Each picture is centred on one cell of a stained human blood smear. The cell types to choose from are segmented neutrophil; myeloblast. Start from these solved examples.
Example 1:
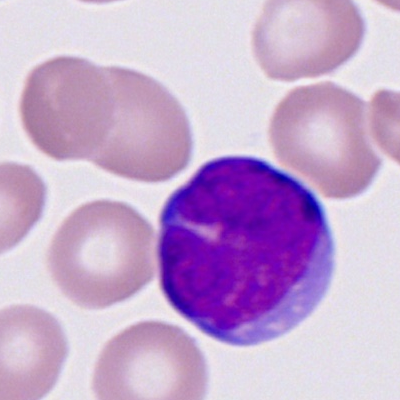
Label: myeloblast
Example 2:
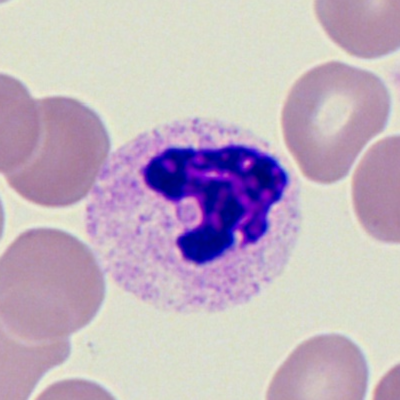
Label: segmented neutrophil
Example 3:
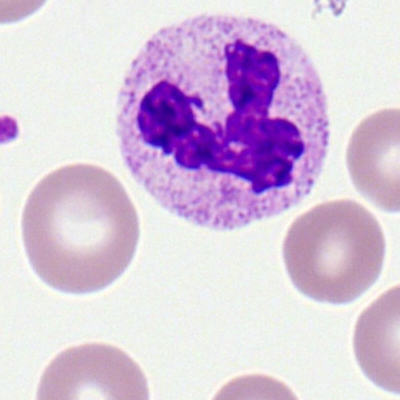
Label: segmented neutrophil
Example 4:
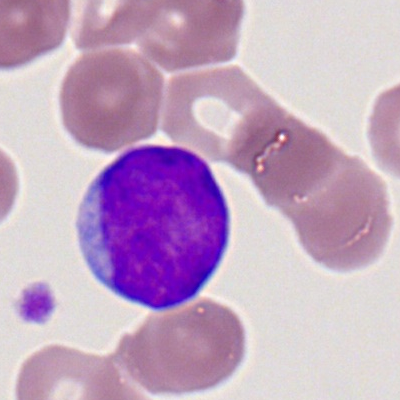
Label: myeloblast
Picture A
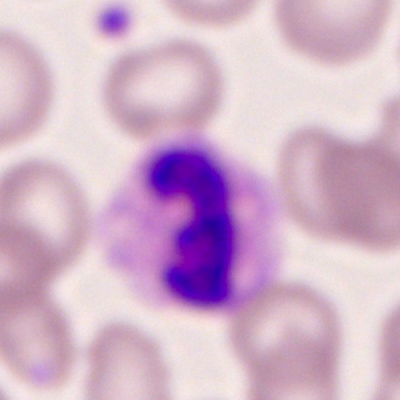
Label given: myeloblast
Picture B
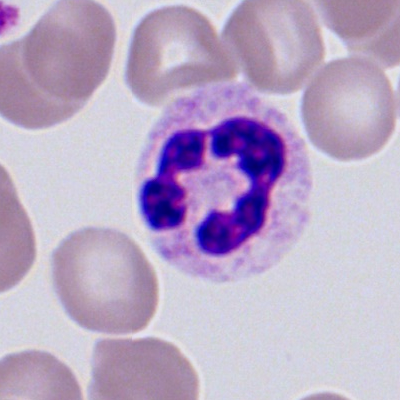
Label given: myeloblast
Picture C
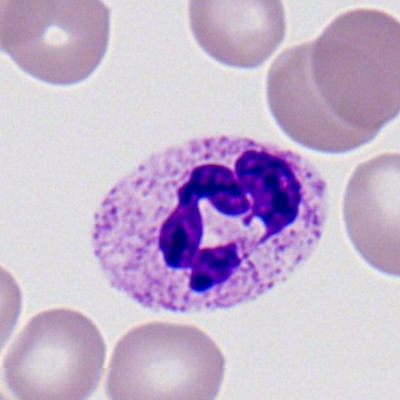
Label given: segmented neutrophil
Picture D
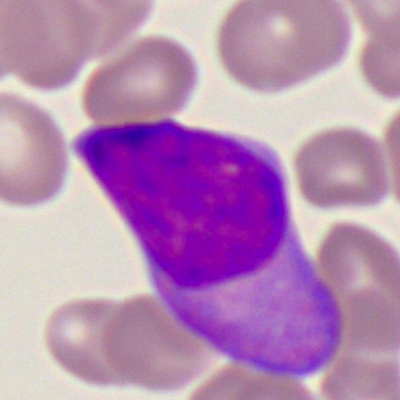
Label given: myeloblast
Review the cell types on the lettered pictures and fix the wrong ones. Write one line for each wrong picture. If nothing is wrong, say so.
Wrong: A (myeloblast); correct: segmented neutrophil
Wrong: B (myeloblast); correct: segmented neutrophil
